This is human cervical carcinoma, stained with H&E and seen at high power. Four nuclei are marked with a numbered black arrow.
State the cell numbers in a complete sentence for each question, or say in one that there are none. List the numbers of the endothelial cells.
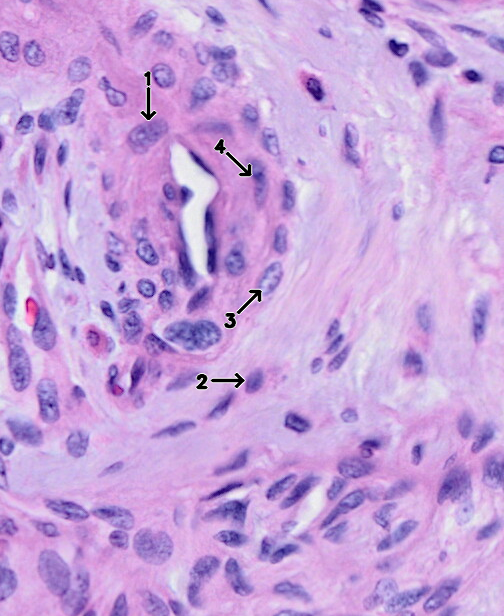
Only the cell numbered 2 is an endothelial cell; none of the others is.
